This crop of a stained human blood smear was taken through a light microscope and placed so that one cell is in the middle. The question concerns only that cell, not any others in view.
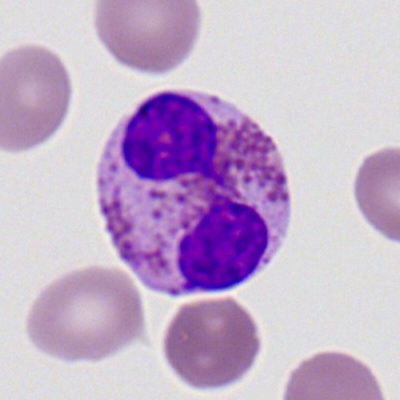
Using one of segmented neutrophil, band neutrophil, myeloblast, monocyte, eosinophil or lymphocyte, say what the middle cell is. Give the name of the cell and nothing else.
eosinophil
